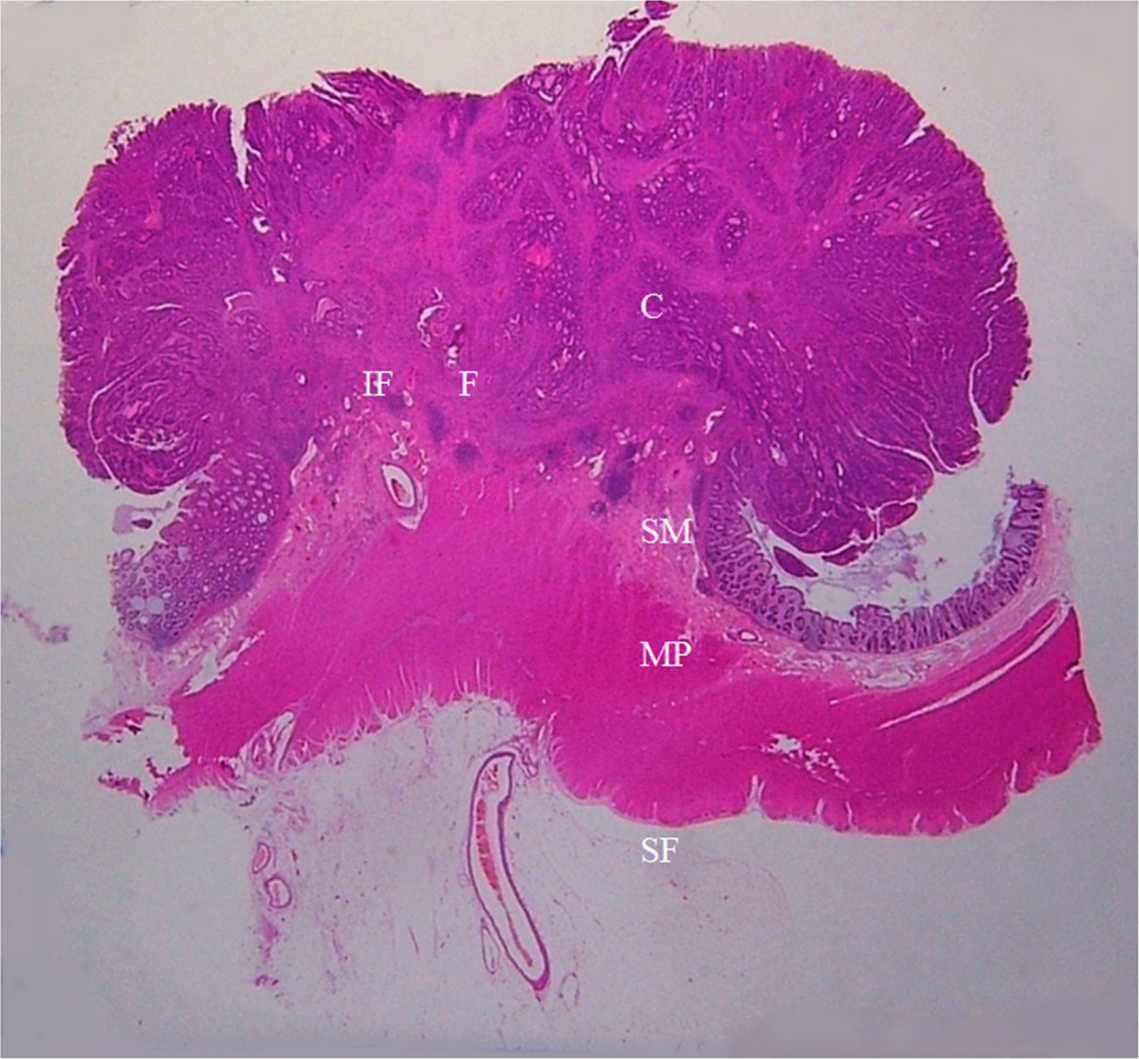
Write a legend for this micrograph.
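This is a low-power section through the whole wall of the colon, carrying a large, lobulated, deeply purple glandular tumour that bulges from the mucosal surface. The tumour is built of crowded, irregular glands with darker nuclei, divided into lobules by paler pink bands of fibrous tissue. At the tumour's lower edge a few small, dark purple clusters of inflammatory cells lie among the fibrous tissue, and the tumour reaches down into the paler loose layer beneath the mucosa. On either side, the normal mucosa shows regular, evenly spaced crypts, in contrast to the tumour's disordered glands. Below lies a thick, intact band of bright pink smooth muscle, and beneath it a pale, loose fatty layer containing blood vessels.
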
